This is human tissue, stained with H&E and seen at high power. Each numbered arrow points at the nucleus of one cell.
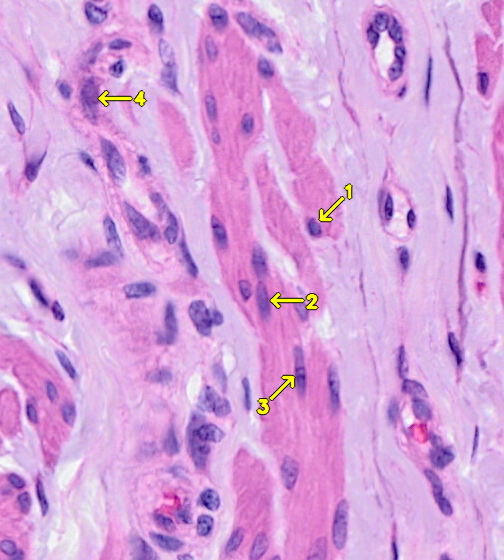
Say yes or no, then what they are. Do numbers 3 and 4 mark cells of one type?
No, cell 3 counts as a smooth muscle cell, and cell 4 counts as an endothelial cell.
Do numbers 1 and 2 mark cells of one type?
Yes, in the case of cells 1 and 2, both are smooth muscle cells.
